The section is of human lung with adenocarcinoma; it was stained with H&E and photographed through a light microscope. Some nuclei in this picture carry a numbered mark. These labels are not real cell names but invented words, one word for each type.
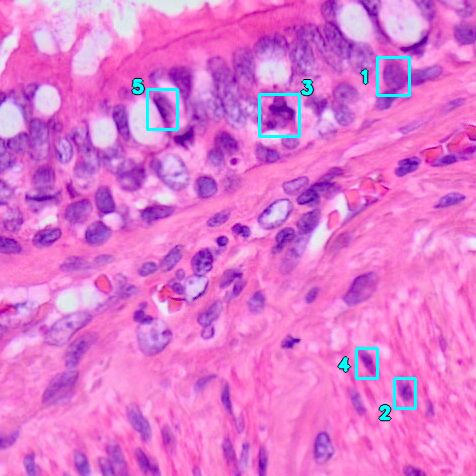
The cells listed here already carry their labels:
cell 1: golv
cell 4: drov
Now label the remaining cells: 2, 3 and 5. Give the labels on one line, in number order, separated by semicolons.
drov; golv; golv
